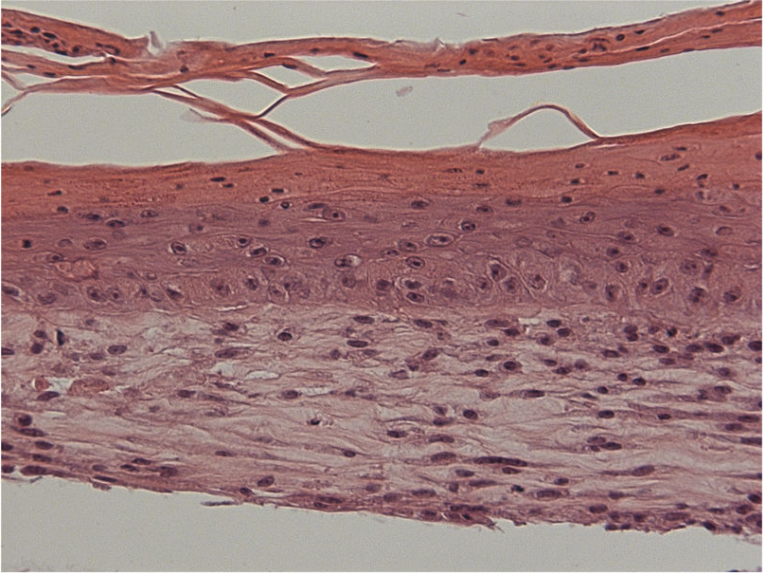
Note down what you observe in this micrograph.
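A pink-stained, multilayered epithelium lies over a paler, loosely fibrous connective layer. The epithelial cells have round to oval purple nuclei in the lower layers and become flatter toward the surface, where compact pink sheets form and partly split away. The lower layer holds scattered spindle-shaped fibroblast nuclei in a pale, wavy matrix, as in a stratified epidermis over a dermis.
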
